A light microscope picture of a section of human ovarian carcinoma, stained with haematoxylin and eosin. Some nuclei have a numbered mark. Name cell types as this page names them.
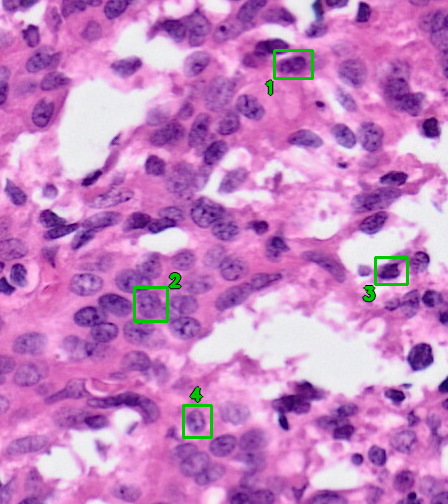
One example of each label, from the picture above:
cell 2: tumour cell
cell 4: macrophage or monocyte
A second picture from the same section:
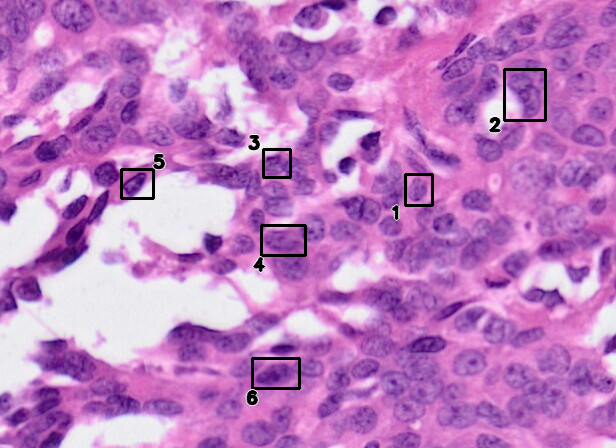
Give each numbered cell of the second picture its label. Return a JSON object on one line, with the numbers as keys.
{"1": "macrophage or monocyte", "2": "tumour cell", "3": "tumour cell", "4": "tumour cell", "5": "macrophage or monocyte", "6": "tumour cell"}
